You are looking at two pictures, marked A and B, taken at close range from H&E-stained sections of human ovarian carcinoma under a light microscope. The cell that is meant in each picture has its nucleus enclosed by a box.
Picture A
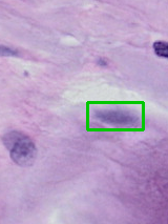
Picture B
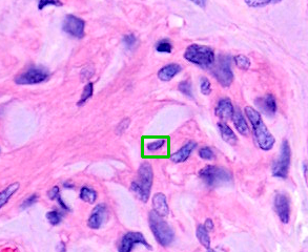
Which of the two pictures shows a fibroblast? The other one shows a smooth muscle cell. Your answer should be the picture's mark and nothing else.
A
